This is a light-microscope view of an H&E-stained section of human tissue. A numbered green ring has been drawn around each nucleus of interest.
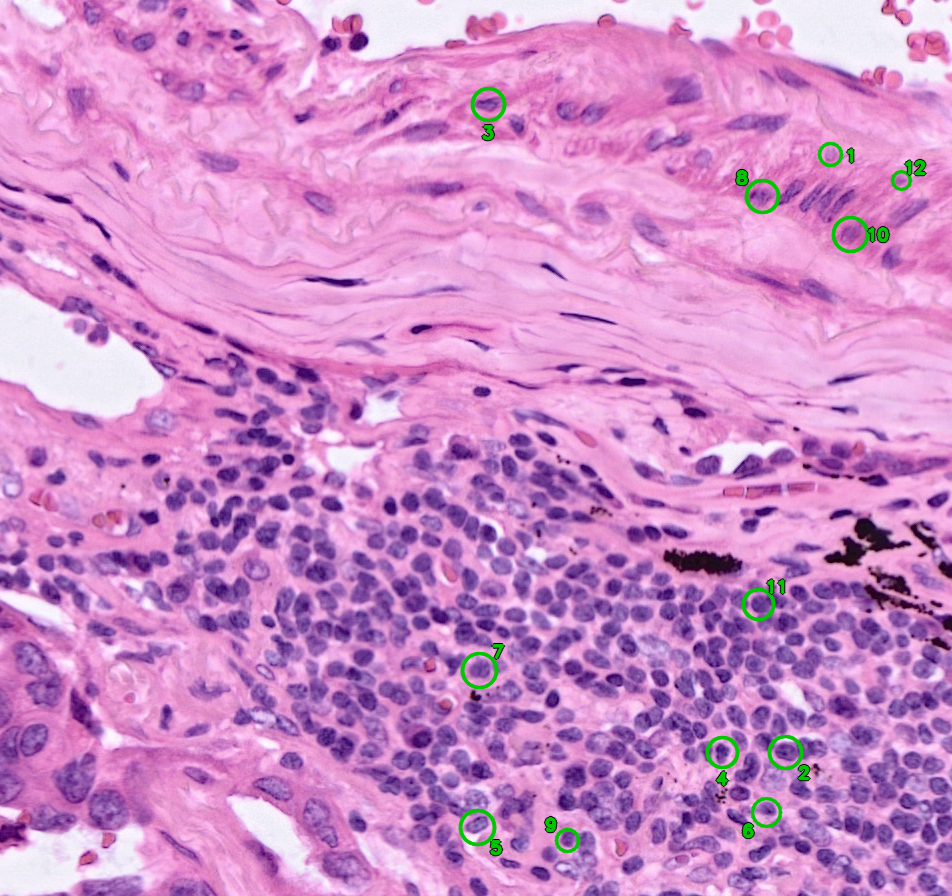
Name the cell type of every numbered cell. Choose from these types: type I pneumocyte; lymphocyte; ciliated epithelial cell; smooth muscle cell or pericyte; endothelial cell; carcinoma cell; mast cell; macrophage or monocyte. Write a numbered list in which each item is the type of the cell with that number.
1. smooth muscle cell or pericyte
2. lymphocyte
3. smooth muscle cell or pericyte
4. lymphocyte
5. lymphocyte
6. lymphocyte
7. lymphocyte
8. smooth muscle cell or pericyte
9. lymphocyte
10. smooth muscle cell or pericyte
11. lymphocyte
12. smooth muscle cell or pericyte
